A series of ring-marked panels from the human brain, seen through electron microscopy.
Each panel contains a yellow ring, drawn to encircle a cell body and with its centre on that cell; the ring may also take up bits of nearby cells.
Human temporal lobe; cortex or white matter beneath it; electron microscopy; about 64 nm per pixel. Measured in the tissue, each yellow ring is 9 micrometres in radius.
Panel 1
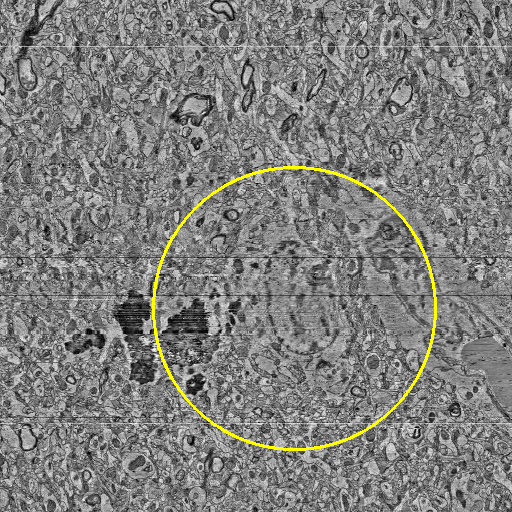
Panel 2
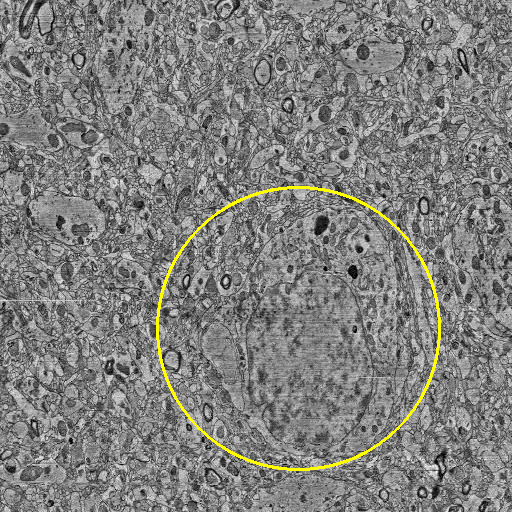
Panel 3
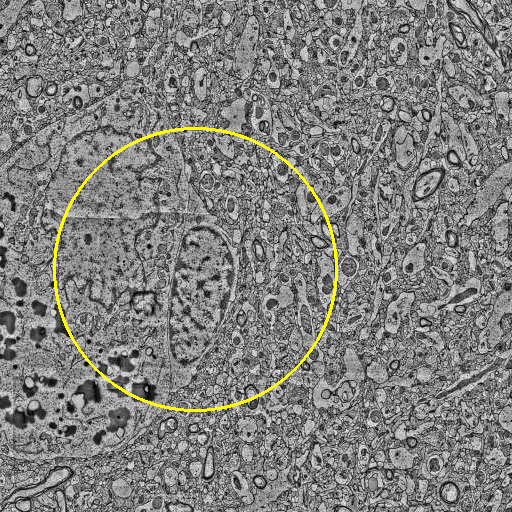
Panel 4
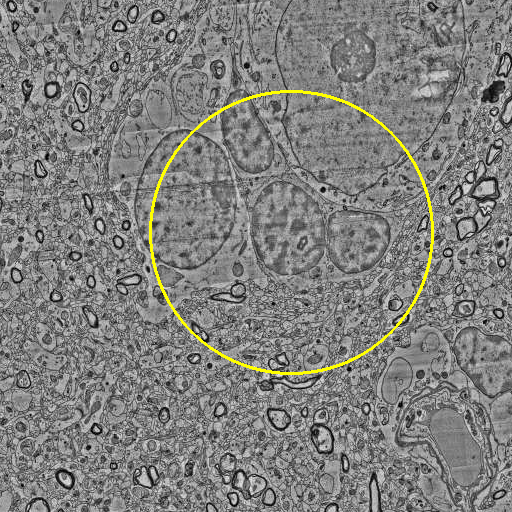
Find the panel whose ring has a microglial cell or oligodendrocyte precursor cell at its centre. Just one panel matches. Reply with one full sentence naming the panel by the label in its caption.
The sought cell lies at the centre of the ring shown in Panel 3.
